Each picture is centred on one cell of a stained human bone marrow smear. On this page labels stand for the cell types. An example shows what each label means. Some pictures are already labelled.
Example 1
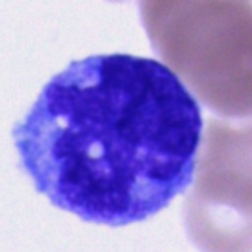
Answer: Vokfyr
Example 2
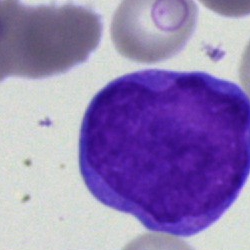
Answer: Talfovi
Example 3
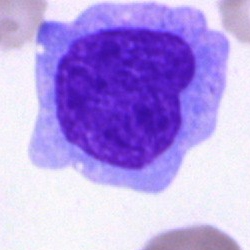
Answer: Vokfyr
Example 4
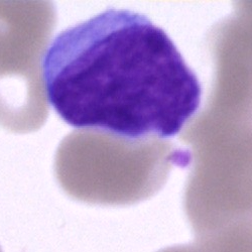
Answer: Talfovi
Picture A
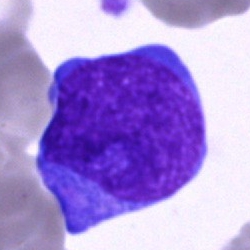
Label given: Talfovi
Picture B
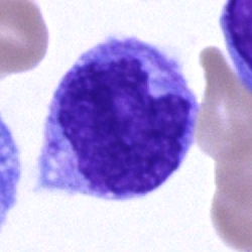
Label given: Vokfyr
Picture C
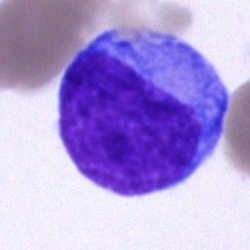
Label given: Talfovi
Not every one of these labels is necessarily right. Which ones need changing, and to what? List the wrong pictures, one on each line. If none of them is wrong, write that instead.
No label is wrong.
